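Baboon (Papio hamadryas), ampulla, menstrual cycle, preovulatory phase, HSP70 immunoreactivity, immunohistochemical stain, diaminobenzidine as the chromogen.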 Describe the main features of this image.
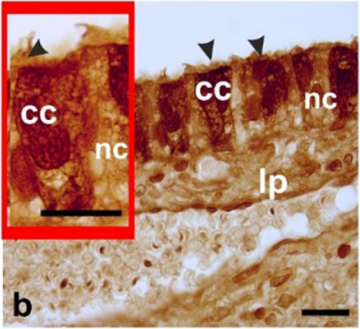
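This is the lining of the oviduct: a single layer of tall columnar epithelial cells over a loose lamina propria. Ciliated cells, with fine cilia along their luminal surface, stain a darker brown, while the non-ciliated cells between them are paler. Beneath the epithelium the lamina propria holds scattered rounded cells in a pale, loose matrix.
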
